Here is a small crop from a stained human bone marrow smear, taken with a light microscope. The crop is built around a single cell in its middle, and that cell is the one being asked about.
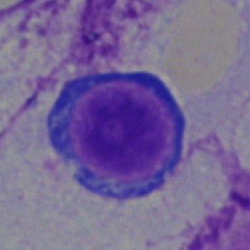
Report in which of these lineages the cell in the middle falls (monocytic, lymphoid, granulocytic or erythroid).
erythroid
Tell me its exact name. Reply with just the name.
proerythroblast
